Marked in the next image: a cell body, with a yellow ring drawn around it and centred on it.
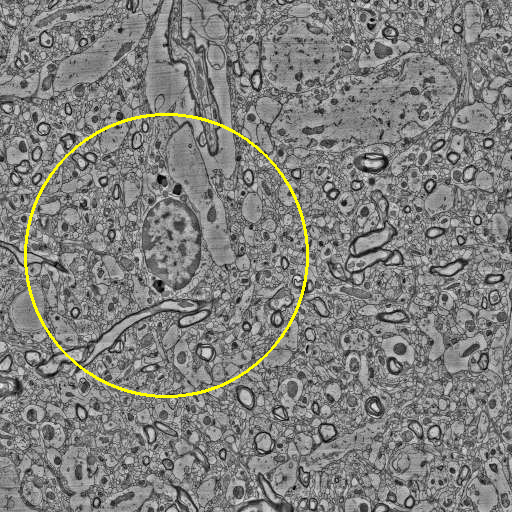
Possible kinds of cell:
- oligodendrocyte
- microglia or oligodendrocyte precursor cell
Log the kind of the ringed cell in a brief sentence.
The ringed cell body is that of a microglial cell or oligodendrocyte precursor cell.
